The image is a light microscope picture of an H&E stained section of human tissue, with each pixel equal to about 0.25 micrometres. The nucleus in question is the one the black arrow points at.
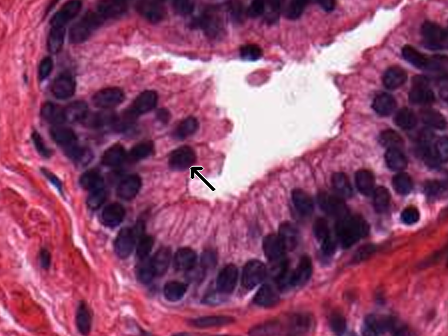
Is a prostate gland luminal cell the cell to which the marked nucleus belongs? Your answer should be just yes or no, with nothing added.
yes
